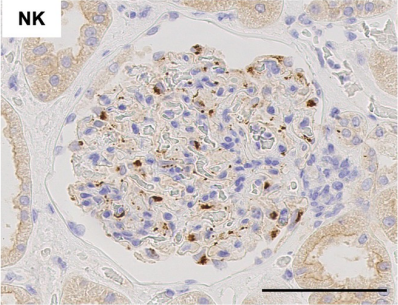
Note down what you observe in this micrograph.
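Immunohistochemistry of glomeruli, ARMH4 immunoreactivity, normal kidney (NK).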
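The compact, lobulated capillary tuft holds many blue-stained nuclei, and dense dark-brown granular deposits sit in scattered cells along the capillary loops. Surrounding tubular epithelium shows paler diffuse brown cytoplasm, and a thin clear space separates the tuft from the capsule.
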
